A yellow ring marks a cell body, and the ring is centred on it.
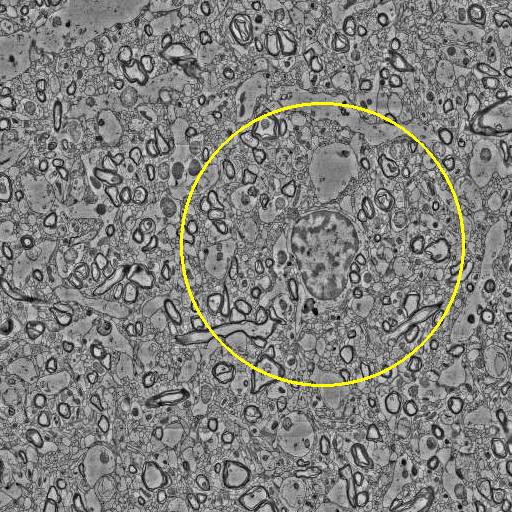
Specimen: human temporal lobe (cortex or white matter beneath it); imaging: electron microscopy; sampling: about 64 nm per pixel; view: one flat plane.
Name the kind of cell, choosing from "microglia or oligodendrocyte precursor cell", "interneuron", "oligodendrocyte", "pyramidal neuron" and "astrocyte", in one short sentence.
The marked cell body belongs to a microglial cell or oligodendrocyte precursor cell.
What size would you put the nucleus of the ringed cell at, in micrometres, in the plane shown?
In this plane, about 6 micrometres in length and 4 in width.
